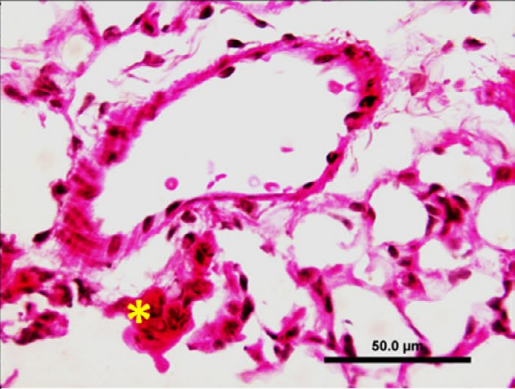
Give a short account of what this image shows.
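At higher power this lung tissue shows a small tube lined by a single row of cells with dark, elongated purple nuclei and pink cytoplasm, its lumen clear. Around it lie thin alveolar walls with scattered nuclei and open air spaces. Below the tube, marked by the asterisk, is a compact clump that stains a deep, dense pink with crowded dark nuclei, much more solid than the delicate walls nearby. Such dense pink tissue replacing the thin walls is what a fibrotic region looks like.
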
